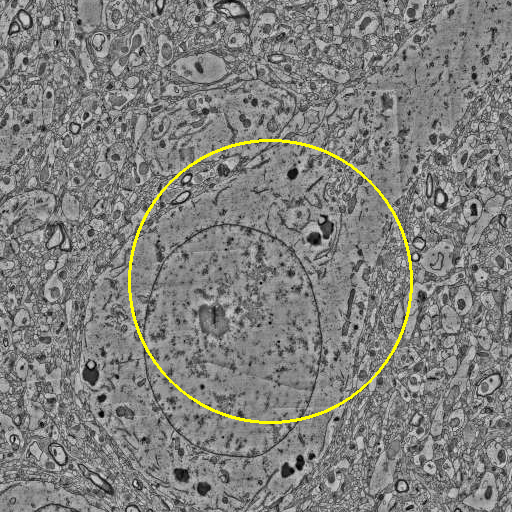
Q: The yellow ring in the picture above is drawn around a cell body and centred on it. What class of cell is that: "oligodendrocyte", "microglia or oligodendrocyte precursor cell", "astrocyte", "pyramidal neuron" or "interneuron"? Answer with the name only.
pyramidal neuron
